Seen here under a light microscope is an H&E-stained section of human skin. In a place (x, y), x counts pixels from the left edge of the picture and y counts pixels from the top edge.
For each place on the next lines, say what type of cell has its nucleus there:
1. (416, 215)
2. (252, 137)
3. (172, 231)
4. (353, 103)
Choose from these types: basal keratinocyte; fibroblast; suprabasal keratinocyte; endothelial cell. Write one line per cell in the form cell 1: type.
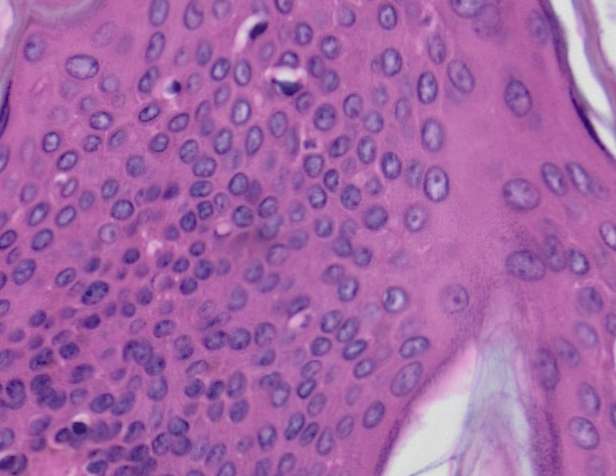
cell 1: suprabasal keratinocyte
cell 2: suprabasal keratinocyte
cell 3: basal keratinocyte
cell 4: suprabasal keratinocyte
